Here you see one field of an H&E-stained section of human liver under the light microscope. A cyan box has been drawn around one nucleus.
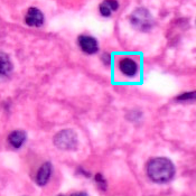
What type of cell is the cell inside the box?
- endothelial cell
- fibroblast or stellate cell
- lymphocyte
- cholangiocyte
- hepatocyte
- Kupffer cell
lymphocyte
